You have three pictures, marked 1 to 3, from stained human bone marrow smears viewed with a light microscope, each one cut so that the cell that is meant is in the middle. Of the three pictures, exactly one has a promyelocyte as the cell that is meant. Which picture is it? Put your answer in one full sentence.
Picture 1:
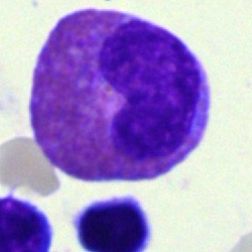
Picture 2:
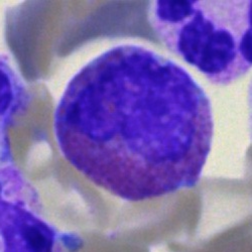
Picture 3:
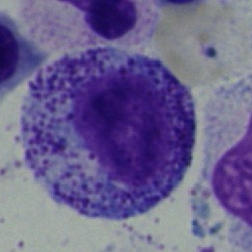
It is picture 3 that shows the promyelocyte.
